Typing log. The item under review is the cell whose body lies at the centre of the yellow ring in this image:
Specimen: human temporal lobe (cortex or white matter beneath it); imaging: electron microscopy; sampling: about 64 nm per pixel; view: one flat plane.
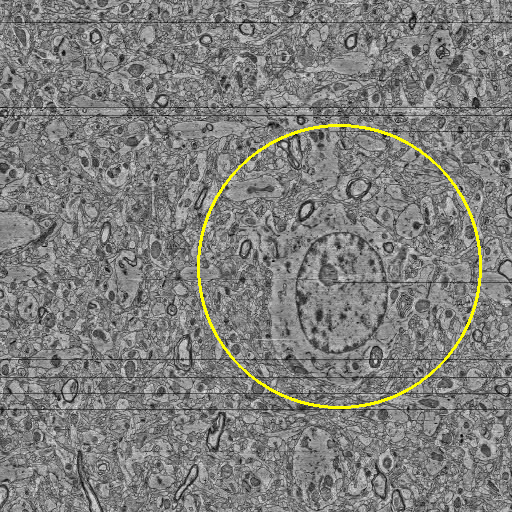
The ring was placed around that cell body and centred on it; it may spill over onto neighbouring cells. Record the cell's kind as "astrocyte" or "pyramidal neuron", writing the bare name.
astrocyte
